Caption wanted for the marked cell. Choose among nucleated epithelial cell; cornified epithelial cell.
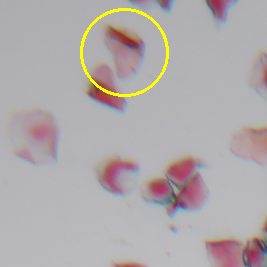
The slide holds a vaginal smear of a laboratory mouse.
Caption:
Ringed in yellow is a cornified epithelial cell.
